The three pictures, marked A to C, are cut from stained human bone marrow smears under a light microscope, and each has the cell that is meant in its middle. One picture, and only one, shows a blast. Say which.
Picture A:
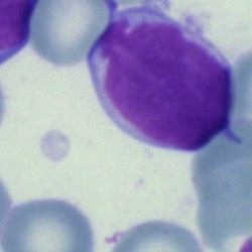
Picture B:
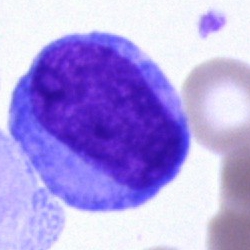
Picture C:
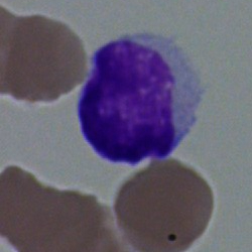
B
